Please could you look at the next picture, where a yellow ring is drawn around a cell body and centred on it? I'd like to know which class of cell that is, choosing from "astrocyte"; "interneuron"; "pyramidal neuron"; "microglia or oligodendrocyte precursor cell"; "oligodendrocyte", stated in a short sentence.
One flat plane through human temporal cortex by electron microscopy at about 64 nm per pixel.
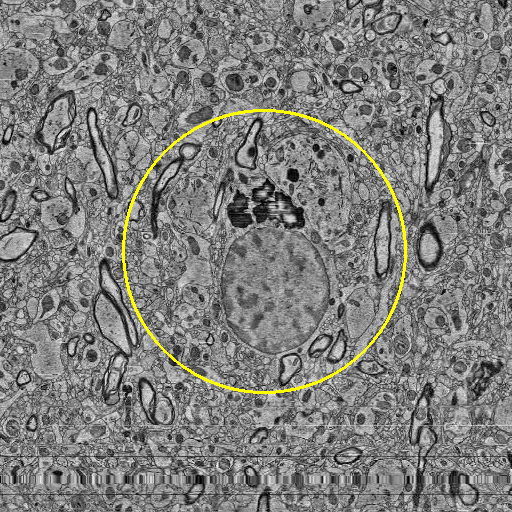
The ring's centre lies on an oligodendrocyte.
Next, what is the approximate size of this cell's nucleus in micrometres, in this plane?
Roughly 9 micrometres by 7 micrometres, in this plane.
